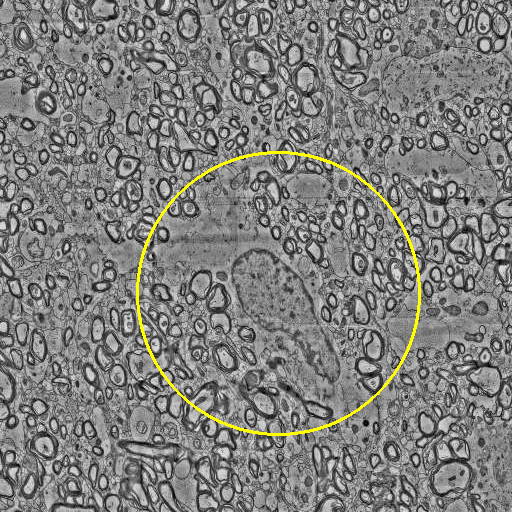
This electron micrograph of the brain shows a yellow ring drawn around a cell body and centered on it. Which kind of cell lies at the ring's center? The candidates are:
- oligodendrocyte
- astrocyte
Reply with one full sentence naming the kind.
The cell lying at the ring's center in this micrograph is an astrocyte.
